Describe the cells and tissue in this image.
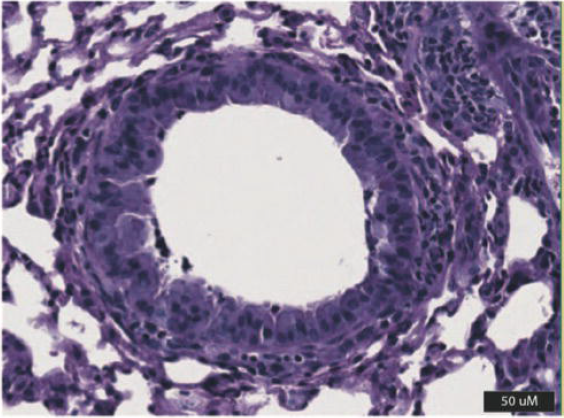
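A lung airway is cut in cross-section, with a round empty lumen lined by a layer of columnar epithelial cells with purple nuclei. A thin band of flattened cells surrounds the epithelium.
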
